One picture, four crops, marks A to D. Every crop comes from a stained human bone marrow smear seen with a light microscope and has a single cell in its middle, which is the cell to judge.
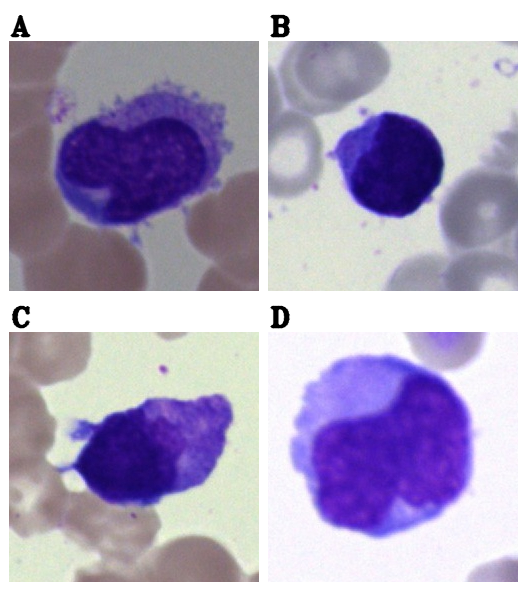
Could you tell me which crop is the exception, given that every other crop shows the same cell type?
A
